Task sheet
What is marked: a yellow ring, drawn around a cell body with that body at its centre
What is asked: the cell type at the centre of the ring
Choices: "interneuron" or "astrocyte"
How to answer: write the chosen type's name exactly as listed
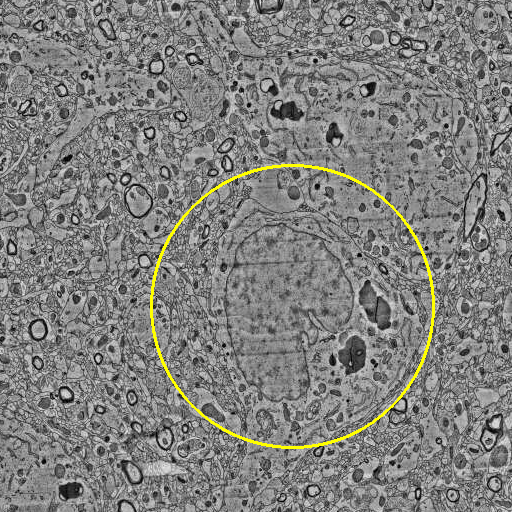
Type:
interneuron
